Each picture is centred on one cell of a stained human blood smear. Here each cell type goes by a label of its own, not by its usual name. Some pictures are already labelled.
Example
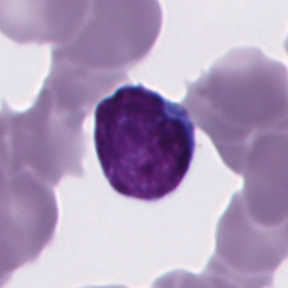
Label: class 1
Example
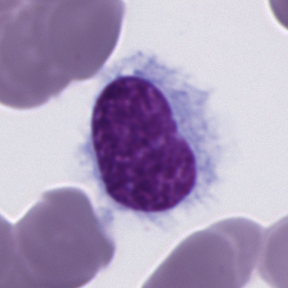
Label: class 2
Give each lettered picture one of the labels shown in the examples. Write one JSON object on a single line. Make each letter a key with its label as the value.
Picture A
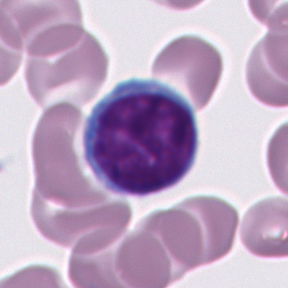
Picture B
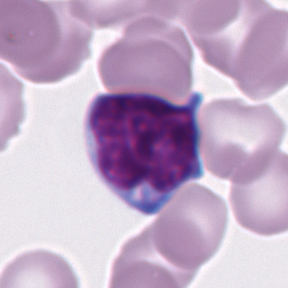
{"A": "class 1", "B": "class 1"}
